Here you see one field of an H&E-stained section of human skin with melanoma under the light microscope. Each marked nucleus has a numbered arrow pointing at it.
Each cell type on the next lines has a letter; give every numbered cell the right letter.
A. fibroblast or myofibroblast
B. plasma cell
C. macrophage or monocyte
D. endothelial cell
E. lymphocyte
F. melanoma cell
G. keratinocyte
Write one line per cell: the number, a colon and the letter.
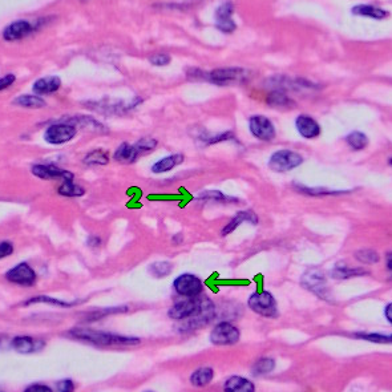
1: E
2: A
